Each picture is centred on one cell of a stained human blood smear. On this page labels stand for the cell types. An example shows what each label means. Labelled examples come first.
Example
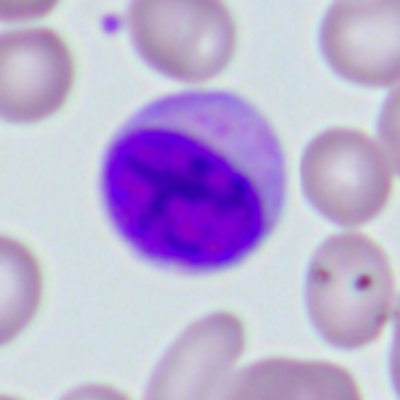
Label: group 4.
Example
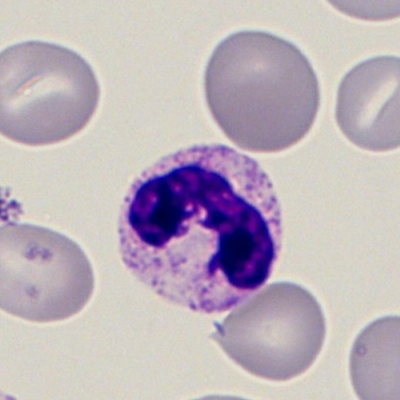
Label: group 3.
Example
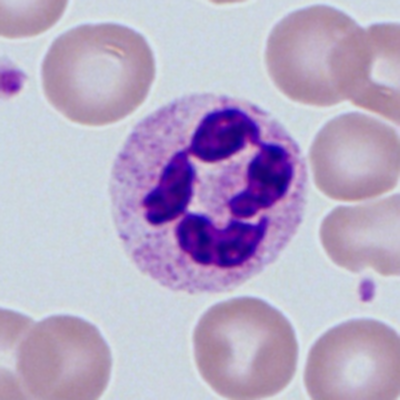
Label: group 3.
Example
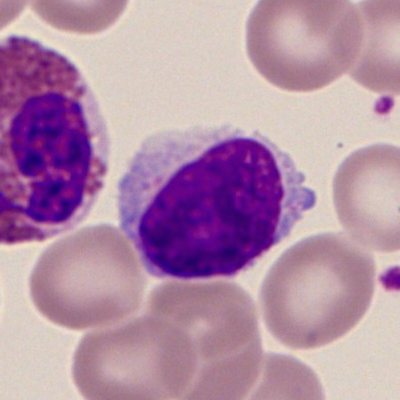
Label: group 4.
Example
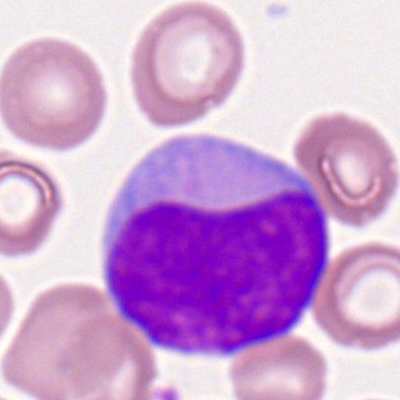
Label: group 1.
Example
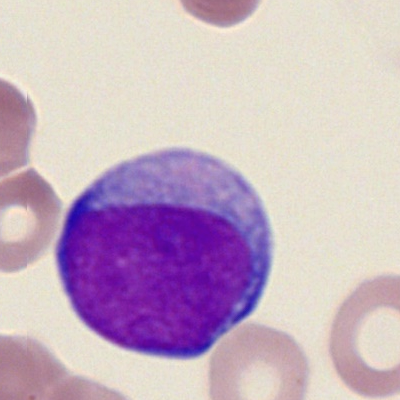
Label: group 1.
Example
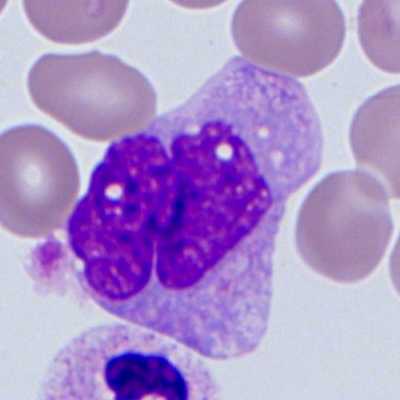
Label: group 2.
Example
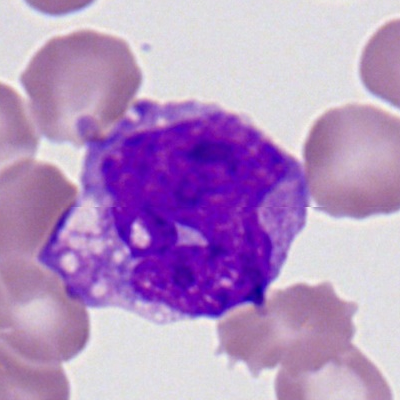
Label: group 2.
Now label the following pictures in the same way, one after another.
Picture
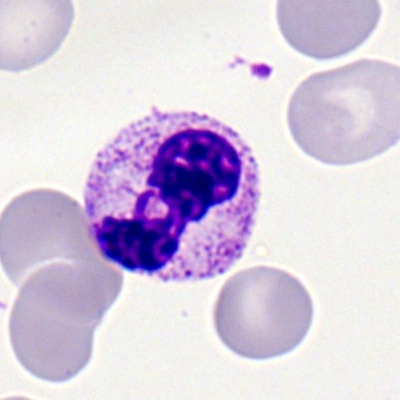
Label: group 3.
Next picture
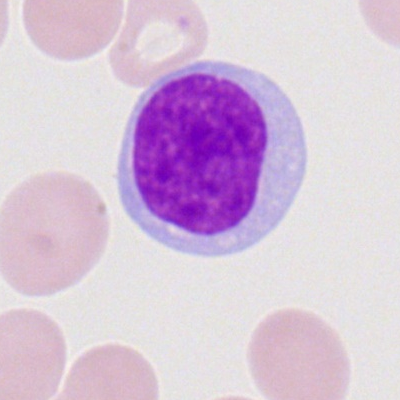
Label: group 4.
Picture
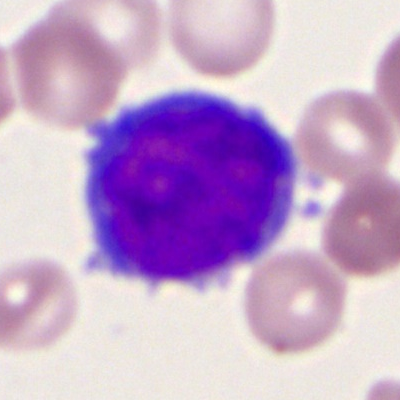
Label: group 1.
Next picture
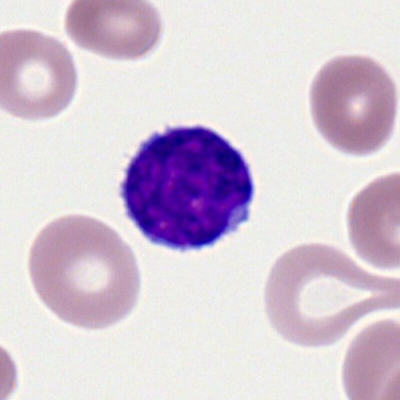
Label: group 4.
